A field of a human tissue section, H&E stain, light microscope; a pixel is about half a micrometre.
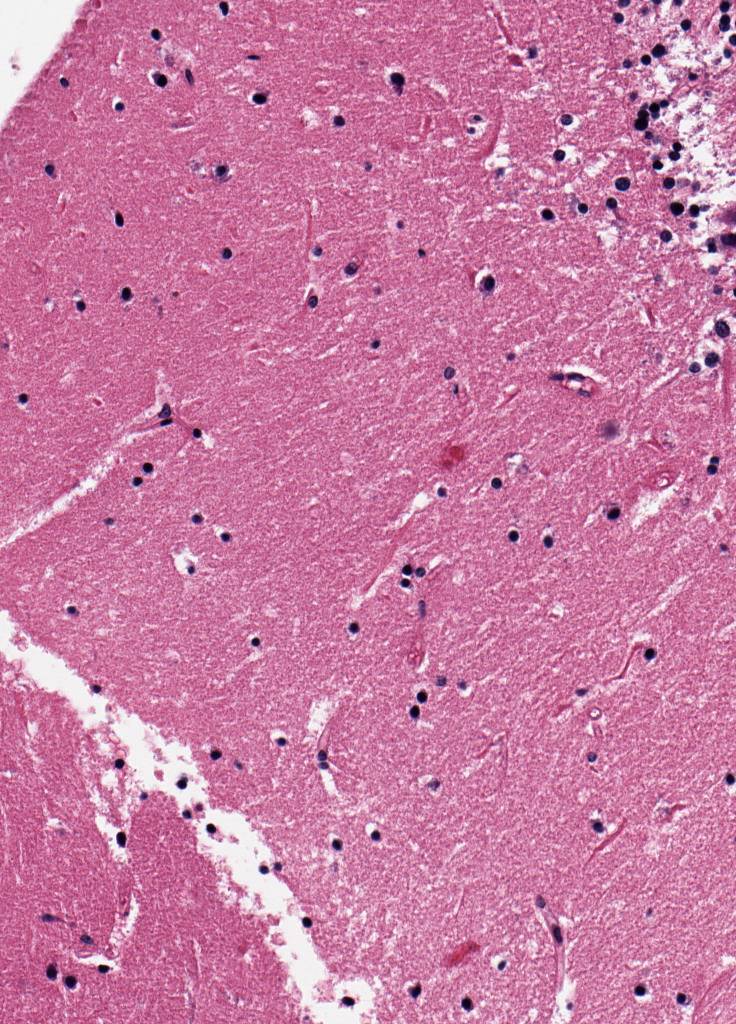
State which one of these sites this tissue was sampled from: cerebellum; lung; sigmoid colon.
cerebellum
